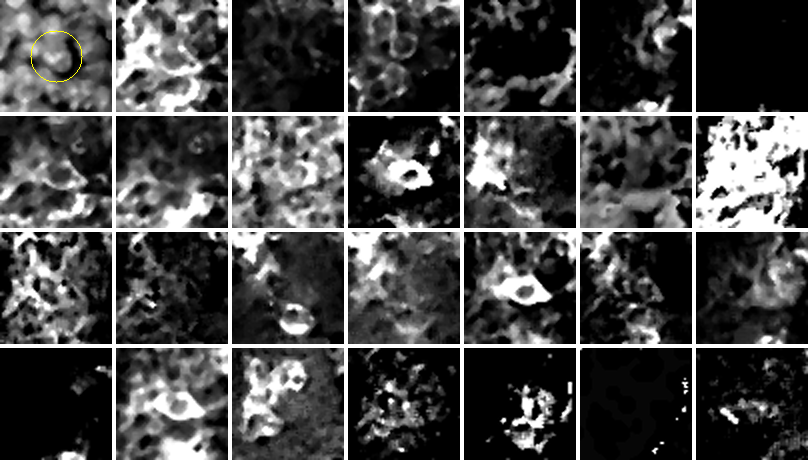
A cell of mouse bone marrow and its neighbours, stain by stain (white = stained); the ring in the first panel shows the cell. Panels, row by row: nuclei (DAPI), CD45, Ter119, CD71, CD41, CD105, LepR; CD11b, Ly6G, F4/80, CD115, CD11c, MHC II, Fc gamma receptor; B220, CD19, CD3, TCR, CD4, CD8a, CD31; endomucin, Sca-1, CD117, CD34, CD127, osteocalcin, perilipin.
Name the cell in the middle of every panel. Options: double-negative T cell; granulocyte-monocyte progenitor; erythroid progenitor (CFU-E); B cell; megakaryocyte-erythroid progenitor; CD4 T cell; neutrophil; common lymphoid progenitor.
erythroid progenitor (CFU-E)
